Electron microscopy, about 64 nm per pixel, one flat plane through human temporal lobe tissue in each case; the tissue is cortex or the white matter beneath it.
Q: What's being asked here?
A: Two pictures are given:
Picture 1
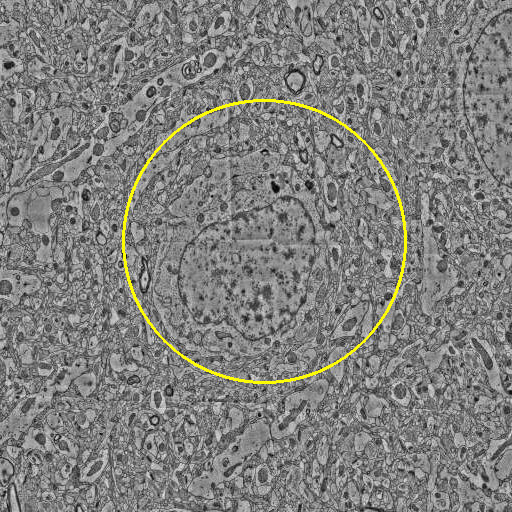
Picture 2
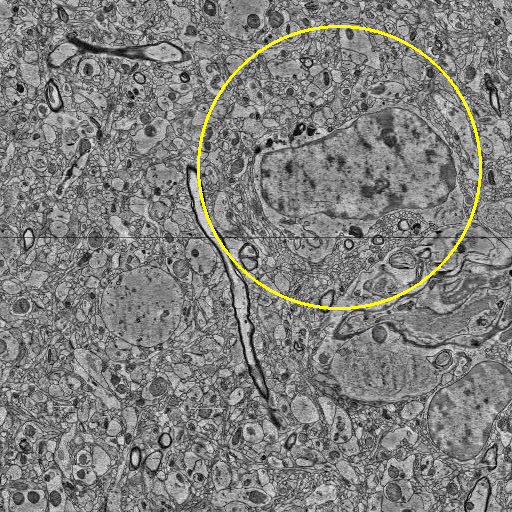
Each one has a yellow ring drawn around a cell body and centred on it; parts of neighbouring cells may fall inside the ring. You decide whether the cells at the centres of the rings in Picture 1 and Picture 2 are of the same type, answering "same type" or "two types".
two types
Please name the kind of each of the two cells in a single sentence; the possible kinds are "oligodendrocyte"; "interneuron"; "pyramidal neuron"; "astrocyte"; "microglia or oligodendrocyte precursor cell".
In the first picture the ring is centred on an interneuron, and in the second on a microglial cell or oligodendrocyte precursor cell.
